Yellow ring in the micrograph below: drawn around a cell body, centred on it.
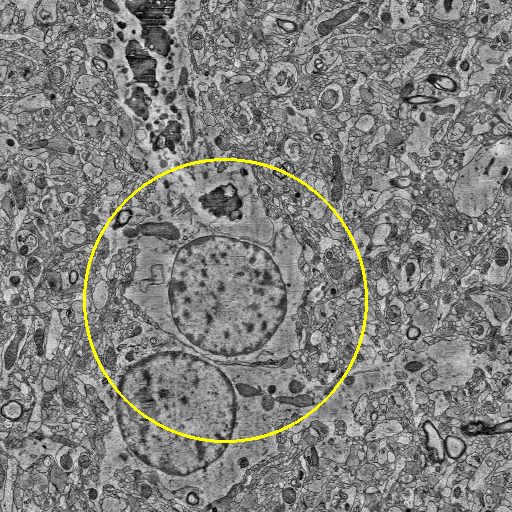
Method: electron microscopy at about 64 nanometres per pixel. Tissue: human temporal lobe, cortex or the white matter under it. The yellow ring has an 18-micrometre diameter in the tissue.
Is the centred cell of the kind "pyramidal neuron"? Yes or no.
no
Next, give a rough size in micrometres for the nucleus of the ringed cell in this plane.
In this plane, the nucleus measures approximately 8 micrometres across.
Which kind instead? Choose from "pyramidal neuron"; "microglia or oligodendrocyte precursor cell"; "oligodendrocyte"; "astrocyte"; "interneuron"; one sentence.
Instead, what sits at the centre of the ring is an astrocyte.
